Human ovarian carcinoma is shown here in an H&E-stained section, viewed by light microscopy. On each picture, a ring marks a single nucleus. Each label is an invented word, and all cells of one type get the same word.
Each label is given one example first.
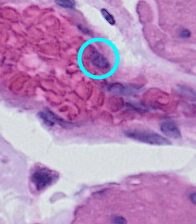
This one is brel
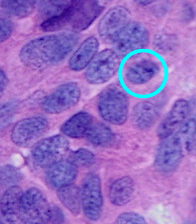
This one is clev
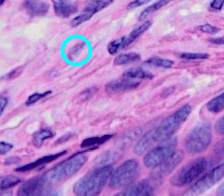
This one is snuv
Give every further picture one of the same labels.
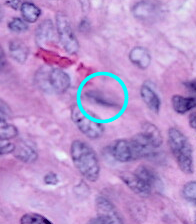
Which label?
brel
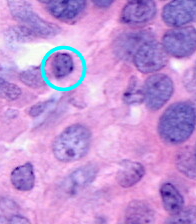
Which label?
clev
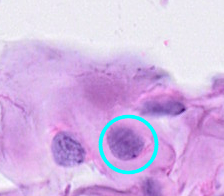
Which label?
snuv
